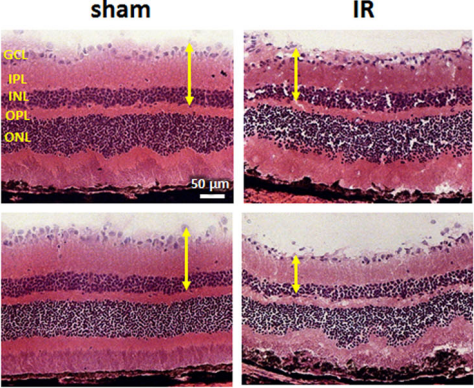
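These are cross-sections of retina stained with hematoxylin and eosin, showing its layered structure from top to bottom. A row of scattered nuclei on top sits above a broad pale pink band. Below it are a dark purple band of densely packed nuclei, a thin pink band, and then a thicker, even more crowded band of nuclei, with the photoreceptor segments and a dark pigmented layer at the bottom. In the right-hand images, the part from the top nuclei down to the first nuclear band is visibly narrower, as the yellow arrows show.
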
